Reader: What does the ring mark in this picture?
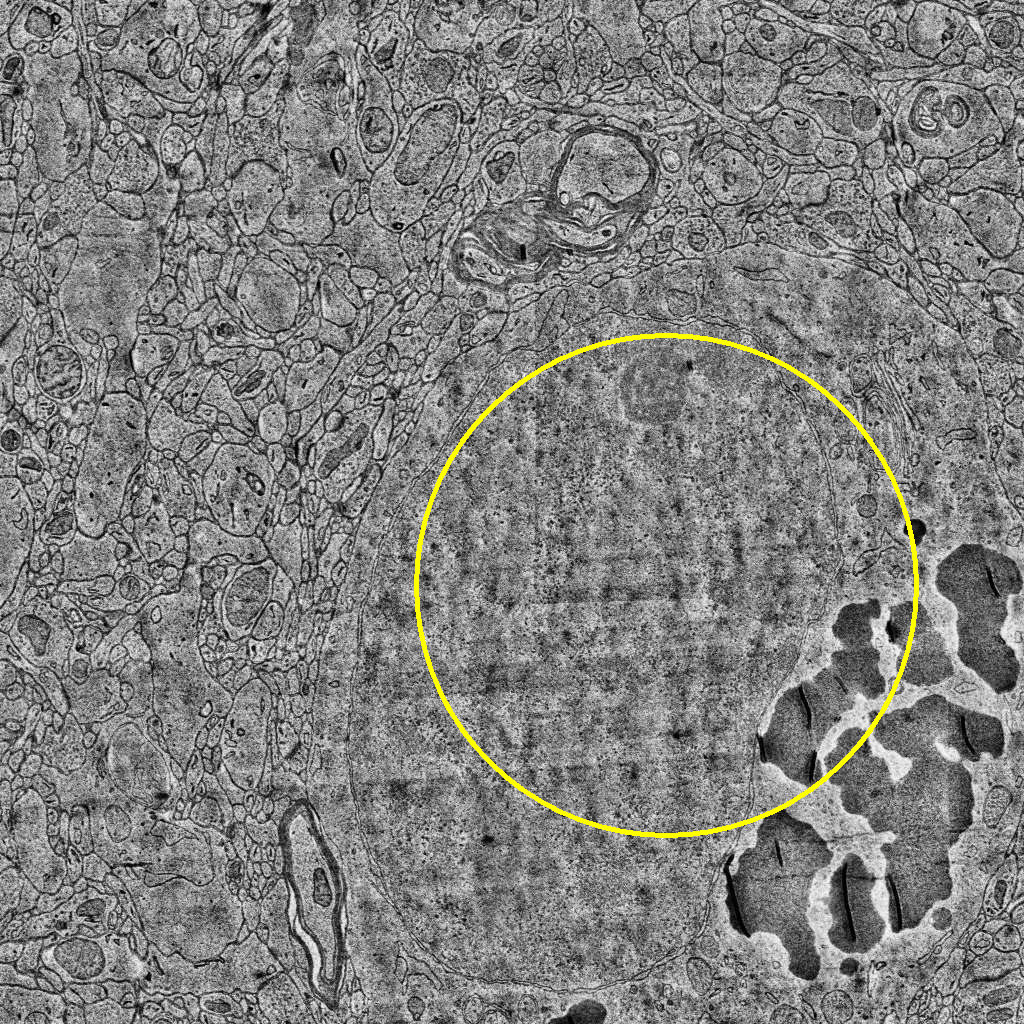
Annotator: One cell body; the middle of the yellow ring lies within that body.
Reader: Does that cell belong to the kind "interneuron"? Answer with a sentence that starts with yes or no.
Yes, in this picture the cell at the ring's centre belongs to that kind.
